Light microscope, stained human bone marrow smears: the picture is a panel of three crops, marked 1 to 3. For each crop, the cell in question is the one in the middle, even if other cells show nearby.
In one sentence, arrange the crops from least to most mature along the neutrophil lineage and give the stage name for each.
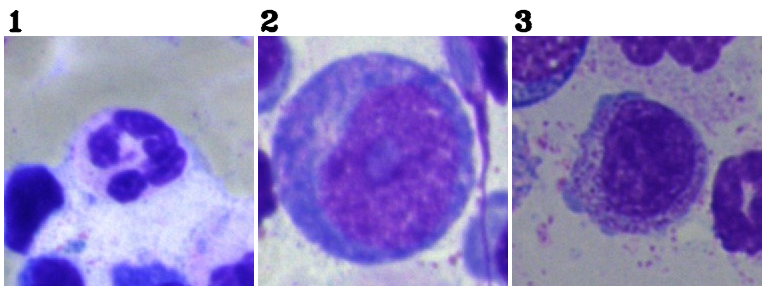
In ascending order of maturity, the cells are crop 2 (a promyelocyte), crop 3 (a myelocyte) and crop 1 (a segmented neutrophil).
